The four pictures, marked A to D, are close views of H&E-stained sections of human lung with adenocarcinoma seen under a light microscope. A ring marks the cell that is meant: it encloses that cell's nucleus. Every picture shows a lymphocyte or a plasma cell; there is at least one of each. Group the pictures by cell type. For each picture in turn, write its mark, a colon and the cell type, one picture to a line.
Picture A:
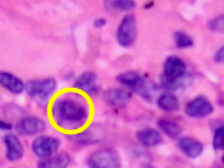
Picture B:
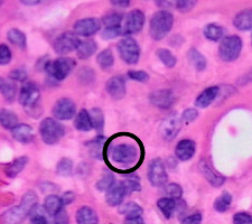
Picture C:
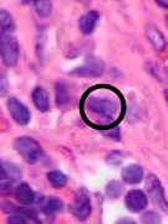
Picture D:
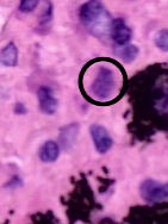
A: plasma cell
B: lymphocyte
C: plasma cell
D: plasma cell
